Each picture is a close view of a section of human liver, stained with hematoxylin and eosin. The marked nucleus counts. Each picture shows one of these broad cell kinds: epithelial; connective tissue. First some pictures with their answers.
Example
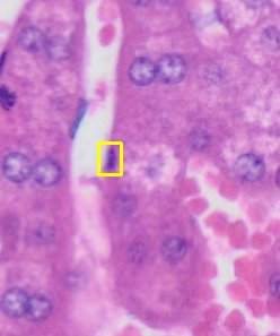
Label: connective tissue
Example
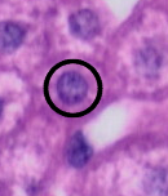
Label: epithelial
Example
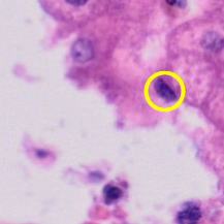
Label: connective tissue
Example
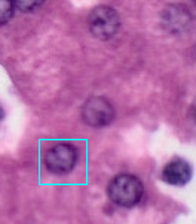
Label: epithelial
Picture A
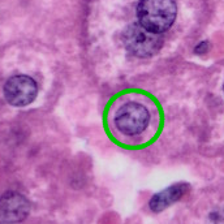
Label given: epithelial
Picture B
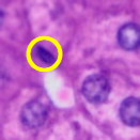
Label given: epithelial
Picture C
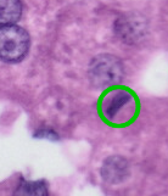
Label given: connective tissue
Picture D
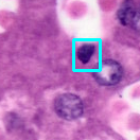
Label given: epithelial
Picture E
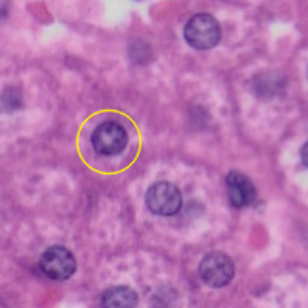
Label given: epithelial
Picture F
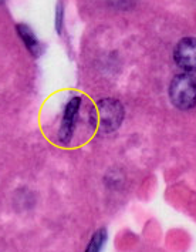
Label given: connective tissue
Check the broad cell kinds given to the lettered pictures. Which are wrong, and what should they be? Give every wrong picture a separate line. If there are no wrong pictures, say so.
B is labelled epithelial; correct label: connective tissue
D is labelled epithelial; correct label: connective tissue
